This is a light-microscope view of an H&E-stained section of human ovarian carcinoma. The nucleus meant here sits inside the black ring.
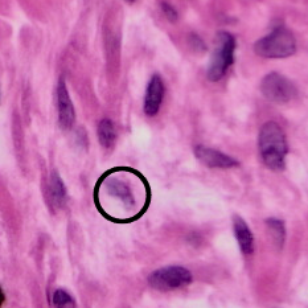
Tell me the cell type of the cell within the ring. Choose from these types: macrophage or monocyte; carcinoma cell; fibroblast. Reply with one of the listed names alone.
fibroblast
